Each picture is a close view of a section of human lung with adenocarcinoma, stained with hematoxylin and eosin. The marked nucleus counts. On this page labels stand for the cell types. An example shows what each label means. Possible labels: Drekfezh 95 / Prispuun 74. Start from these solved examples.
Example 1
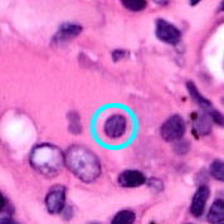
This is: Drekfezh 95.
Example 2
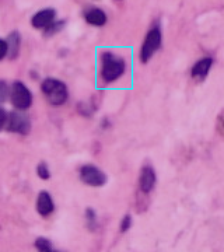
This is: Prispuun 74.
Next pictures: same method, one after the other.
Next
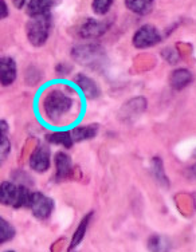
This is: Drekfezh 95.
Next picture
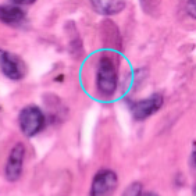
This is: Prispuun 74.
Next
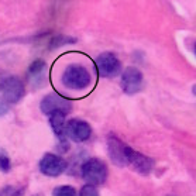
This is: Drekfezh 95.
